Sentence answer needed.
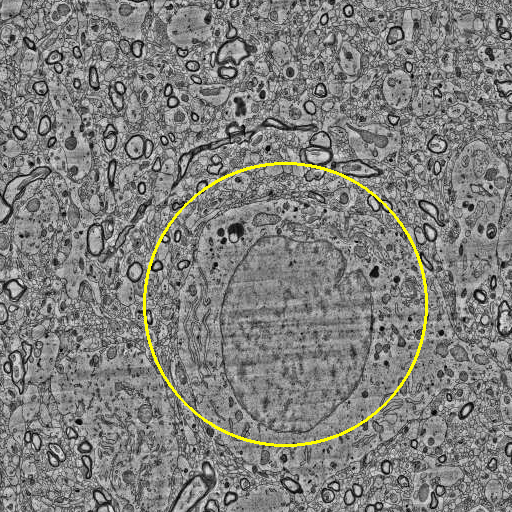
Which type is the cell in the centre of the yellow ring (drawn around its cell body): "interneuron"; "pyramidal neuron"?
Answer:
In the centre of the yellow ring is an interneuron.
